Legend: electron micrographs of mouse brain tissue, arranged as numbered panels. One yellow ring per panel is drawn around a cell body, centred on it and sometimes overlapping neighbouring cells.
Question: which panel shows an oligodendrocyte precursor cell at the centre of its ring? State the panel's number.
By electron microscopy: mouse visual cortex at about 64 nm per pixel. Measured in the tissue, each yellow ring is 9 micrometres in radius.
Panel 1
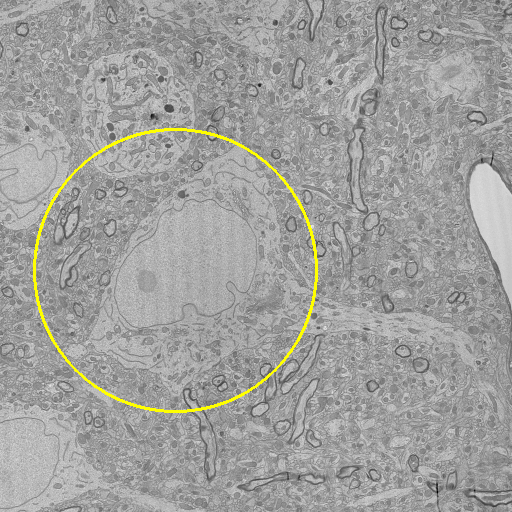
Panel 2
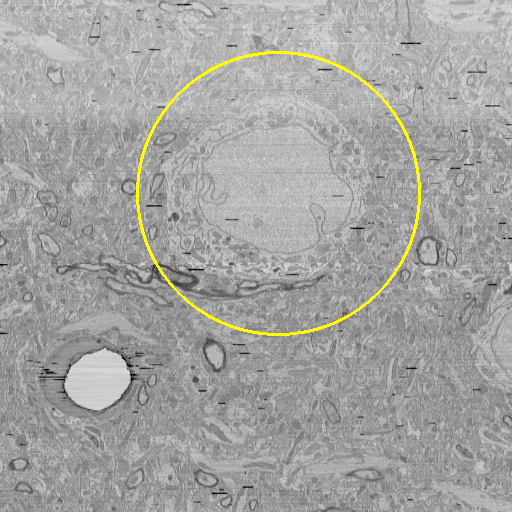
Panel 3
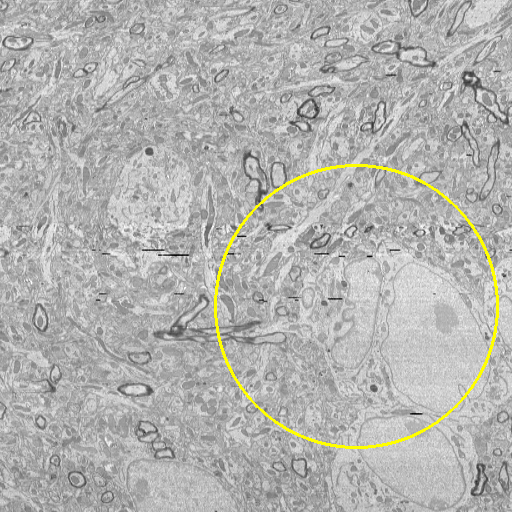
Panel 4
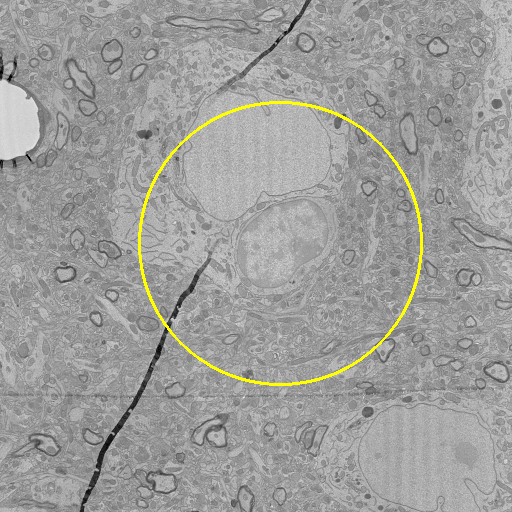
3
